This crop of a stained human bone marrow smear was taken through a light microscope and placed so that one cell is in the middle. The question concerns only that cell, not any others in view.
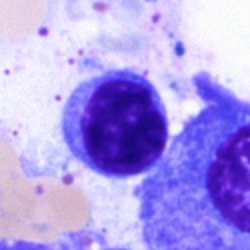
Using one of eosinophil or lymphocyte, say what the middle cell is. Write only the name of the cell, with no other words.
lymphocyte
